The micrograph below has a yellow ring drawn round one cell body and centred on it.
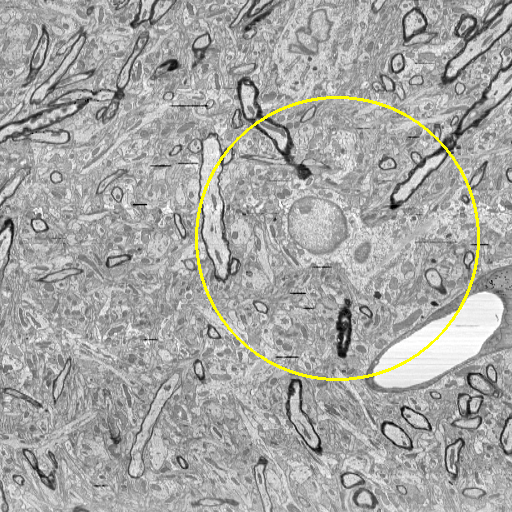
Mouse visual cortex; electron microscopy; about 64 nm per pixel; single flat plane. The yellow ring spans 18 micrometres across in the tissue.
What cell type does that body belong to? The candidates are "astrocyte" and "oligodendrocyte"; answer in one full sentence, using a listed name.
This is an astrocyte, the cell whose body lies at the centre of the ring.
